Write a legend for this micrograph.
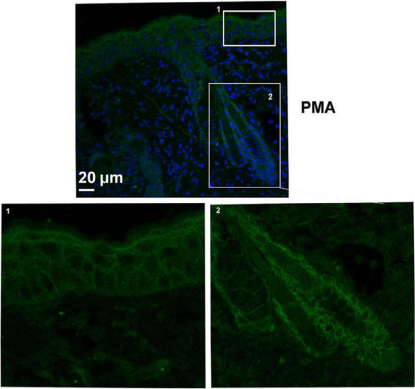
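Skin with surface epidermis and a hair follicle descending into the dermis, shown with green outlines of cells and blue nuclei. In the epidermis at the top, the cells form a layered sheet, and the green lies along the borders between neighbouring cells, giving a net-like honeycomb pattern. The hair follicle is an elongated tube reaching down from the surface; its cells are likewise outlined in green around a central shaft. Below, the dermis holds scattered blue nuclei with weaker green, and the enlarged views show the membrane-outlining pattern most clearly.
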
